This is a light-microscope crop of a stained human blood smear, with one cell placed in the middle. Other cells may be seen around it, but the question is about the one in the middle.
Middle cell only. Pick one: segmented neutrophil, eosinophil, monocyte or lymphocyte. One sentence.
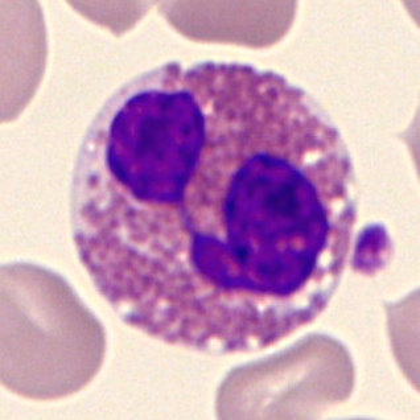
As for the cell in the middle, it is an eosinophil.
